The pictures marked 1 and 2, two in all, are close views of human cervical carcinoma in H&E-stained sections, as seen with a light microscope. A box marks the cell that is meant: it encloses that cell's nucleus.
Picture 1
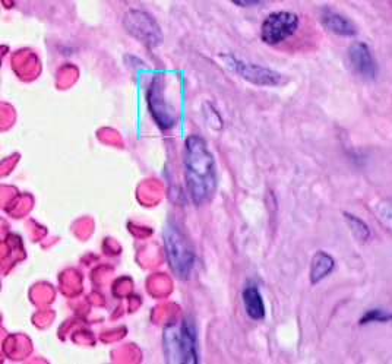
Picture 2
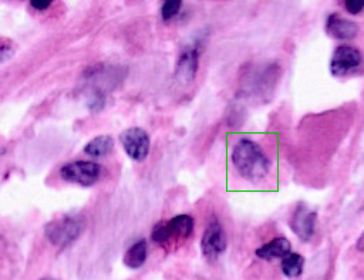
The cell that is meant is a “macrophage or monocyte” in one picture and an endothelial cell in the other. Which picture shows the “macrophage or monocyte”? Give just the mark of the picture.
2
